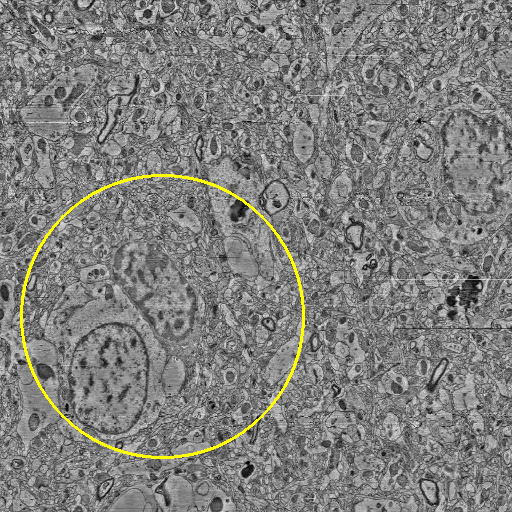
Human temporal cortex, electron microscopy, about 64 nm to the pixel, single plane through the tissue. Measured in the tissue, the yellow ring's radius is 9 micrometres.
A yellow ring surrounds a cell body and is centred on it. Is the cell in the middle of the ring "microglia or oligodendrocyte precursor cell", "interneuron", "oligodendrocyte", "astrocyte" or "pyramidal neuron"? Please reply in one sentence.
The ring is centred on an oligodendrocyte.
